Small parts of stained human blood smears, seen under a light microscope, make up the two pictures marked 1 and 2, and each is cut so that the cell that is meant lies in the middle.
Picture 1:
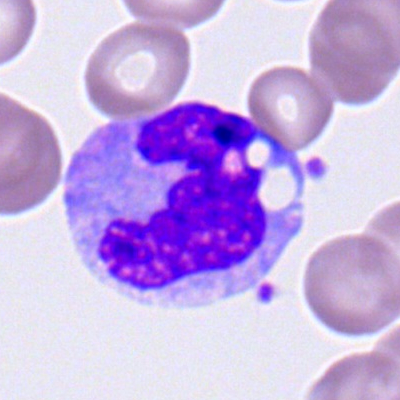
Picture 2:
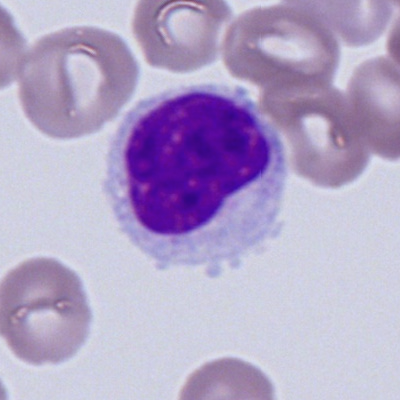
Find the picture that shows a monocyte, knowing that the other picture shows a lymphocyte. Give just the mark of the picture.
1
